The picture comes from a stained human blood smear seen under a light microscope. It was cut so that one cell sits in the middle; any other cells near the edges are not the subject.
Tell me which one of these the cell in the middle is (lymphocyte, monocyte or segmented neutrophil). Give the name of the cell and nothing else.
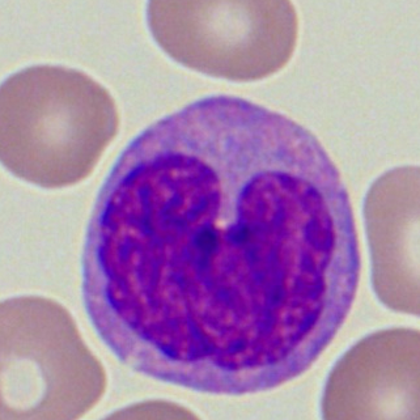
monocyte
